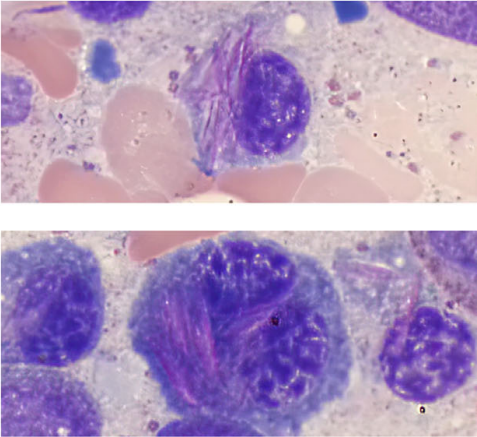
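These are plasma cells in a bone marrow smear, carrying needle-like rod inclusions in their cytoplasm. Within the cytoplasm lie bundles of slender, pink-violet, needle-shaped rods, packed side by side and sometimes crossing, close to or overlapping the nucleus. Pale pink red blood cells crowd around the cells, and other nucleated marrow cells with purple nuclei sit alongside. The rods look much like the rod inclusions otherwise known from immature myeloid cells.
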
